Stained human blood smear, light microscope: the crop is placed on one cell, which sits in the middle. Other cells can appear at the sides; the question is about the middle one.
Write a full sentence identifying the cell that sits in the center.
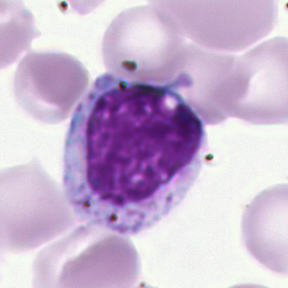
Of the cells in this crop, the central one is a metamyelocyte.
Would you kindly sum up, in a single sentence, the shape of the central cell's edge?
Irregular and not smooth, the cell boundary is ragged or drawn out into projections.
